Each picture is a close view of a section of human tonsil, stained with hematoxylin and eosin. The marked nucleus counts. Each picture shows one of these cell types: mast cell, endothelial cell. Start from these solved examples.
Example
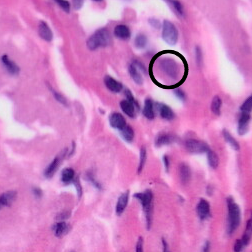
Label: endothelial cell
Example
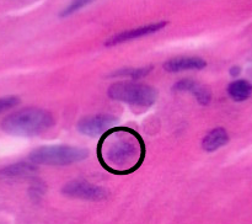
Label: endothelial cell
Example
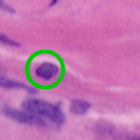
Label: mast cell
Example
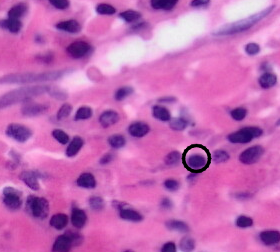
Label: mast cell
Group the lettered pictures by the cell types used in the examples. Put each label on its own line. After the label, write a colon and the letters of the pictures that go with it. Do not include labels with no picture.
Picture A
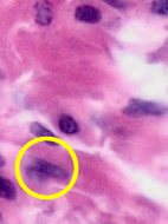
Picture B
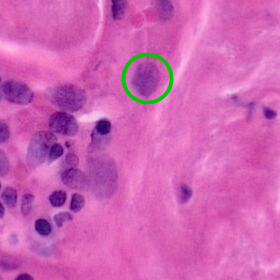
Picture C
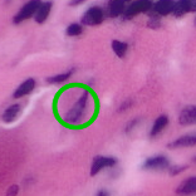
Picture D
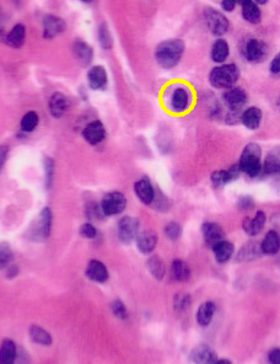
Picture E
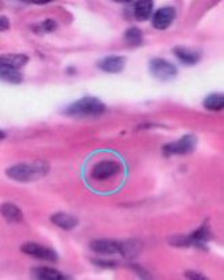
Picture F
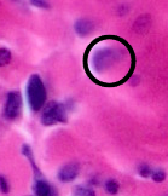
mast cell: D, E
endothelial cell: A, B, C, F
